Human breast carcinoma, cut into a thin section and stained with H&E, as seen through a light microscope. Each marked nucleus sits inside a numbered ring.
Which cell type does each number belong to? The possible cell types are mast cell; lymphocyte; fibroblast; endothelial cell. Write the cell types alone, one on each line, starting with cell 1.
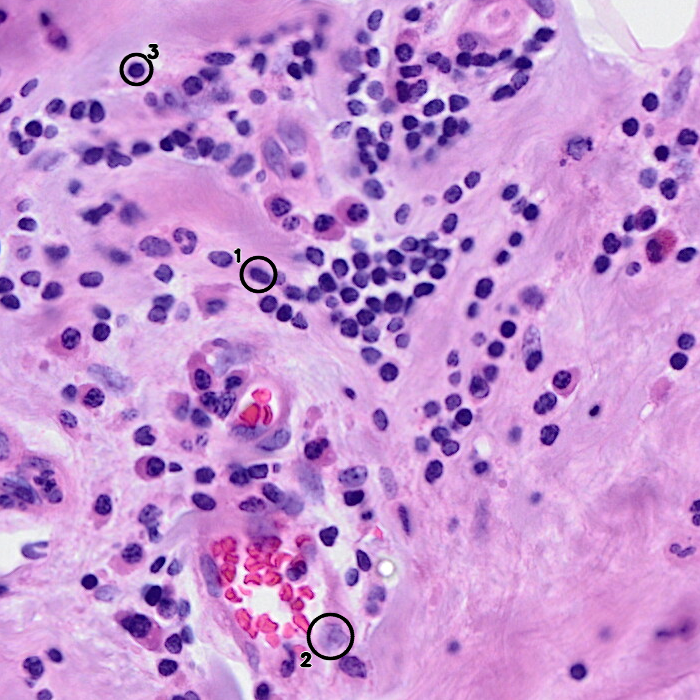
lymphocyte
endothelial cell
lymphocyte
